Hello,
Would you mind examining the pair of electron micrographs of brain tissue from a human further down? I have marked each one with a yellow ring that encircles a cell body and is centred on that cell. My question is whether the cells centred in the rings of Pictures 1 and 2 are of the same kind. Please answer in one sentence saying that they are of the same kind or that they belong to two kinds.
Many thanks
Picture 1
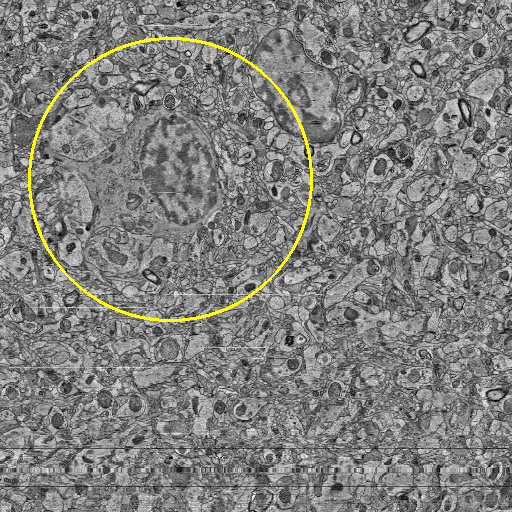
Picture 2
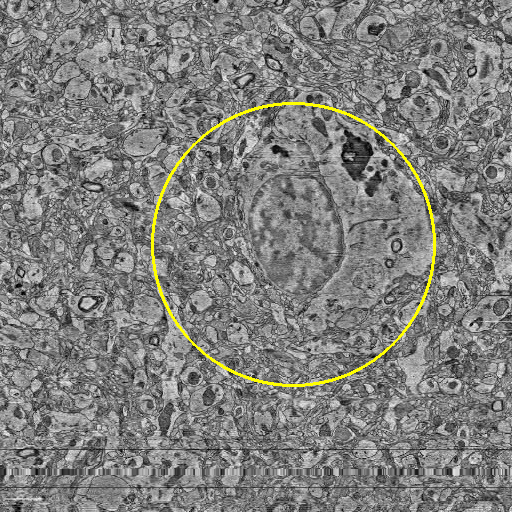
In Pictures 1 and 2, the cells at the heart of the rings are of the same kind.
